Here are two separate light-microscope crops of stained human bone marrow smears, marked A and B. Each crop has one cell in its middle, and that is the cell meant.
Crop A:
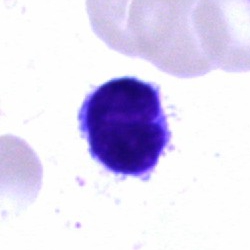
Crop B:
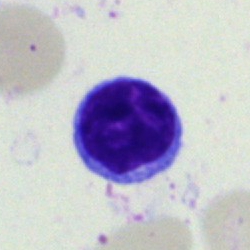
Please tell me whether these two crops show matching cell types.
yes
